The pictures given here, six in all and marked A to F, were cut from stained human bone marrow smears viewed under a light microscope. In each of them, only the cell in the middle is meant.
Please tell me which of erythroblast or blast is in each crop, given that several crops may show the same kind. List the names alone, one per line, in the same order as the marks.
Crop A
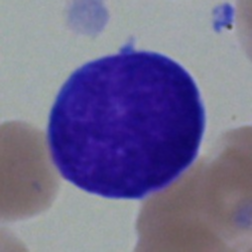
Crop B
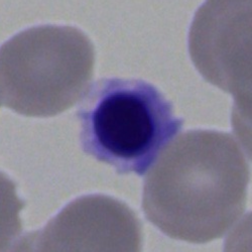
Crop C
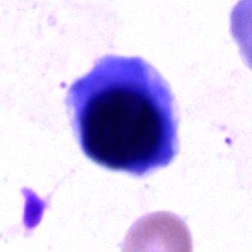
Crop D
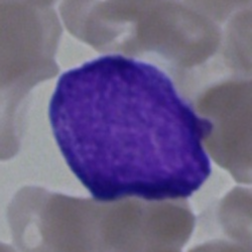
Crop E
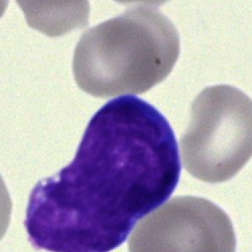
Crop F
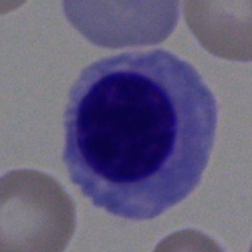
blast
erythroblast
erythroblast
blast
blast
erythroblast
